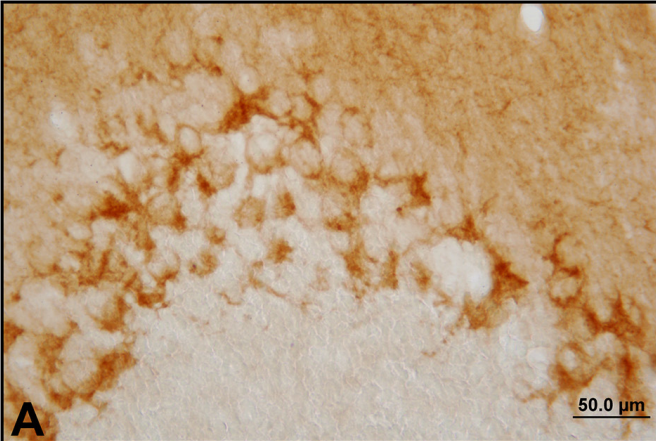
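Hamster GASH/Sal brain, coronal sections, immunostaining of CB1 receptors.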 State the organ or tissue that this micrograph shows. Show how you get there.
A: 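Cerebellum. Finely textured layer on one side and a pale layer on the other.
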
